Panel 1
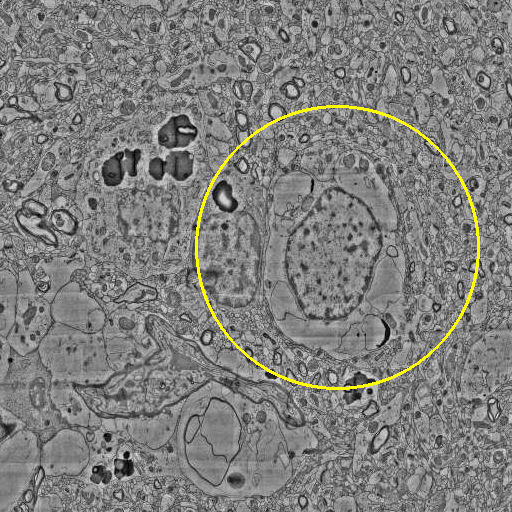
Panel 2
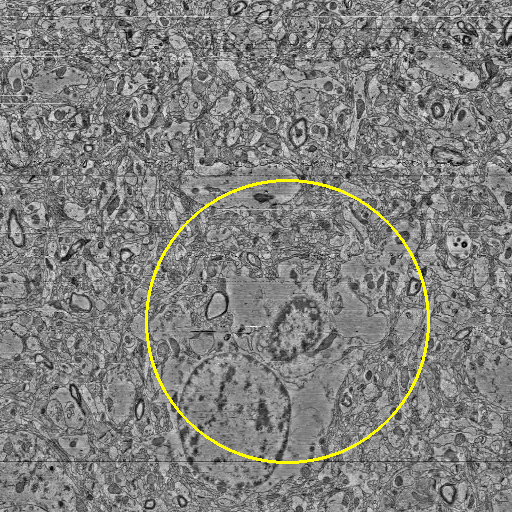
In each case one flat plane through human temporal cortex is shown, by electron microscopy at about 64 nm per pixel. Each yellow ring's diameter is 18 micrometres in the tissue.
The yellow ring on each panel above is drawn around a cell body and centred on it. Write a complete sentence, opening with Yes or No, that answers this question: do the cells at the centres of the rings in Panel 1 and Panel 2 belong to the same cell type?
Yes, both cells belong to the same cell type.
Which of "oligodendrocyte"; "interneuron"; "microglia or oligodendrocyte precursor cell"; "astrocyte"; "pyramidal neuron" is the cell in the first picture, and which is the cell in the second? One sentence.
In each of the two pictures, the ringed cell is an astrocyte.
